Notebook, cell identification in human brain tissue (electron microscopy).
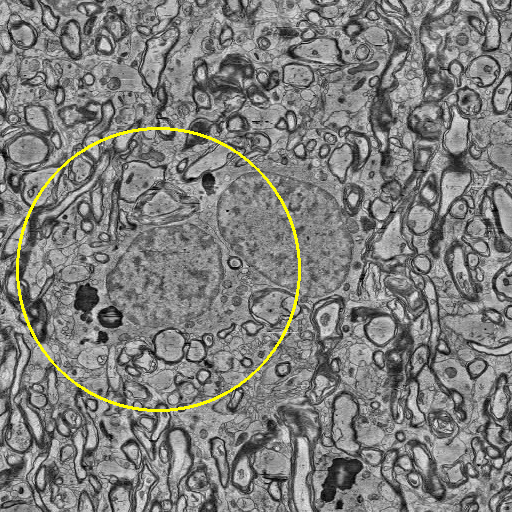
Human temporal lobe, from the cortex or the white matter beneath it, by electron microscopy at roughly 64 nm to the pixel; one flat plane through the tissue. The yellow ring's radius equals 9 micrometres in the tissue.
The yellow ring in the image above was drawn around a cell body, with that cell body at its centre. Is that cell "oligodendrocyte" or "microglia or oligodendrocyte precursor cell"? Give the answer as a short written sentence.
The cell in the ring is an oligodendrocyte.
